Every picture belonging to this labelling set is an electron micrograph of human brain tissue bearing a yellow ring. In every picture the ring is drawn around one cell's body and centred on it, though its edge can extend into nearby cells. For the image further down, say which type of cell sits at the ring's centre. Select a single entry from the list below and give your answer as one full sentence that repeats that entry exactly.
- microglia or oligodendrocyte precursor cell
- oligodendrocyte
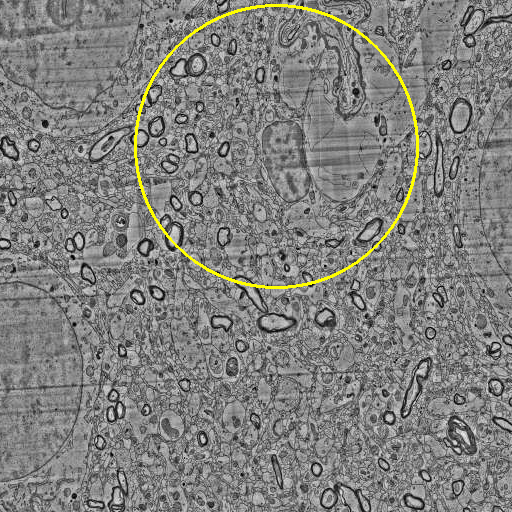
In the picture, a microglial cell or oligodendrocyte precursor cell is the cell at the centre of the yellow ring.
